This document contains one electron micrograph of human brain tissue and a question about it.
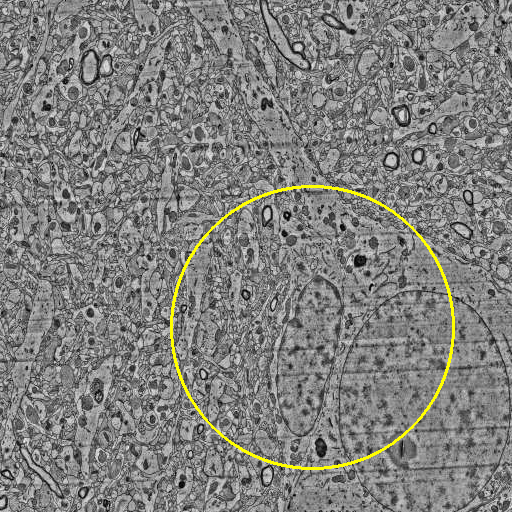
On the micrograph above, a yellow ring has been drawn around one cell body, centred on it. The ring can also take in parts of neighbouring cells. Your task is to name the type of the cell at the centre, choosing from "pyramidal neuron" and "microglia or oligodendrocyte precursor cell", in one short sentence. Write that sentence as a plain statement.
Here the ring is centred on a microglial cell or oligodendrocyte precursor cell.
